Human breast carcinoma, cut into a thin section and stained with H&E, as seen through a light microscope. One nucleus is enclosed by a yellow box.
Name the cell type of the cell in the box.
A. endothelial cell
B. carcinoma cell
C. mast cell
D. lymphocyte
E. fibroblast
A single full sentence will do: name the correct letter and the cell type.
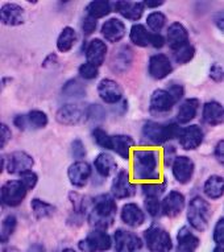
In this section the cell in the box is a lymphocyte; option D is therefore correct.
